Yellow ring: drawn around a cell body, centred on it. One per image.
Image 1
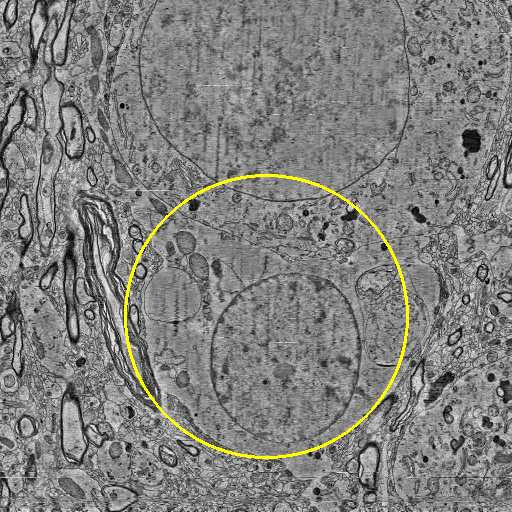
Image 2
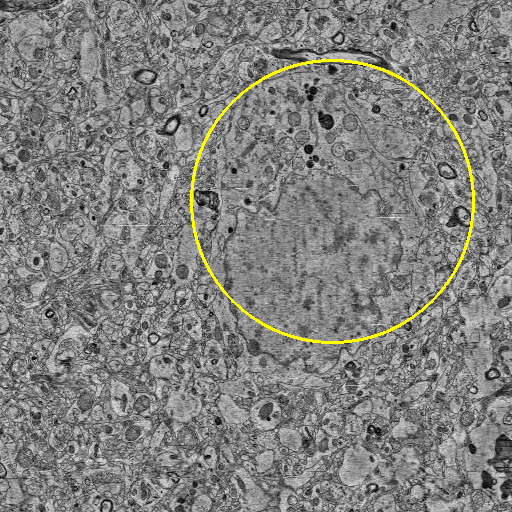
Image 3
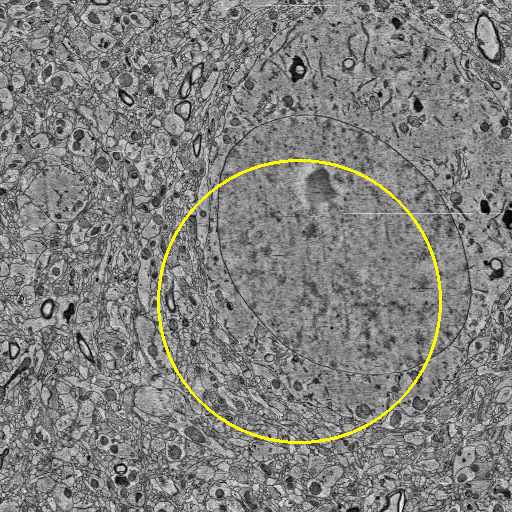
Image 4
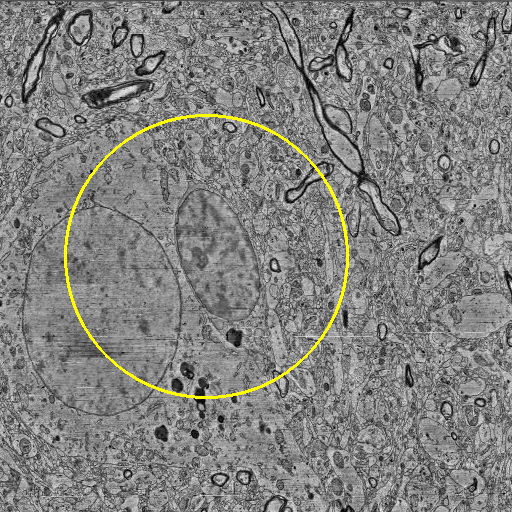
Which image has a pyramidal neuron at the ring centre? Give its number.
3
